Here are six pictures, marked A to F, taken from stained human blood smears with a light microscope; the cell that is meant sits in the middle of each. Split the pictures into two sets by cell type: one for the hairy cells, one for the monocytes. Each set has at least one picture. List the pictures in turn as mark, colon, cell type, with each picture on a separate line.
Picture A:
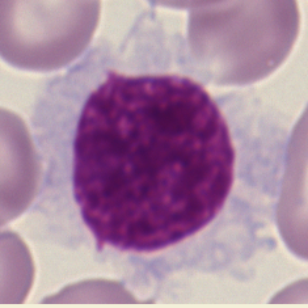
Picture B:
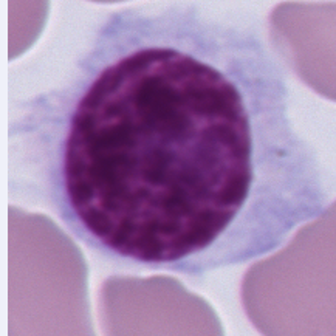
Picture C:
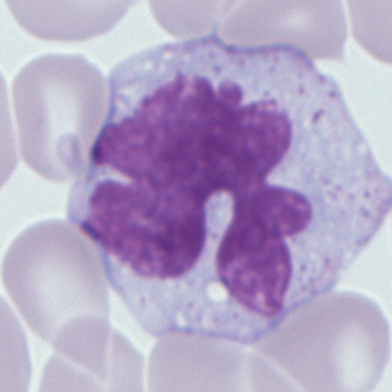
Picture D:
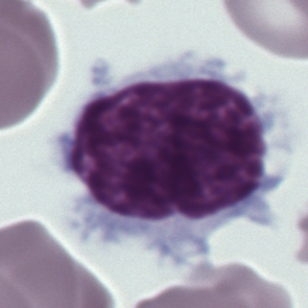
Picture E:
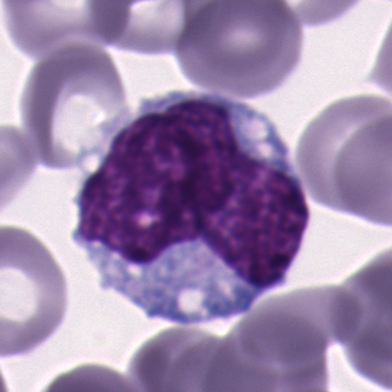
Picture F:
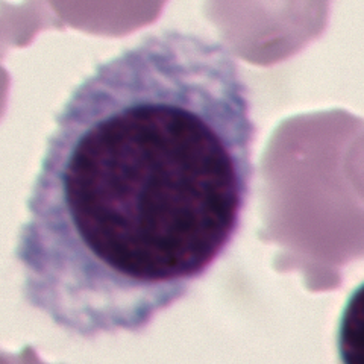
A: hairy cell
B: hairy cell
C: monocyte
D: hairy cell
E: monocyte
F: hairy cell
